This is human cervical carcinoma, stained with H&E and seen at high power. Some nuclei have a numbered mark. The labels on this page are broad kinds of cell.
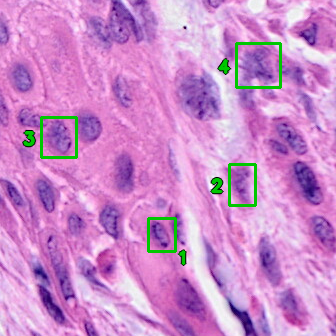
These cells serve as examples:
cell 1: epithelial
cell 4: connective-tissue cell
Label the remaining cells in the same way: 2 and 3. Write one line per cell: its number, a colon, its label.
2: connective-tissue cell
3: epithelial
